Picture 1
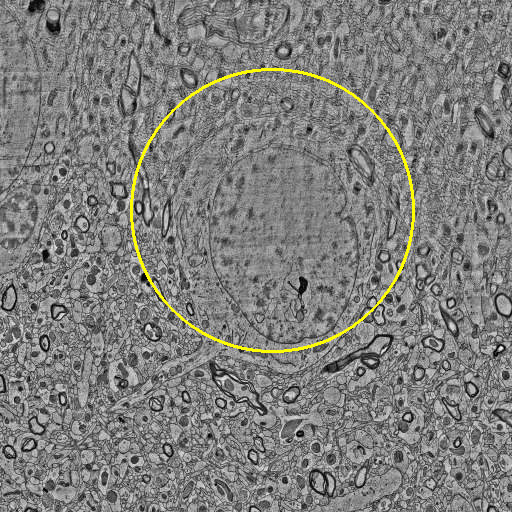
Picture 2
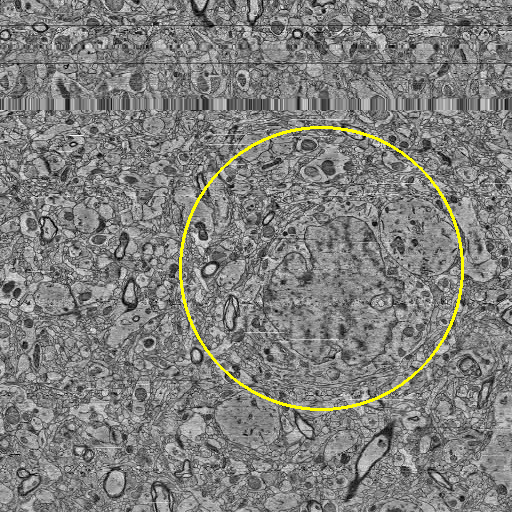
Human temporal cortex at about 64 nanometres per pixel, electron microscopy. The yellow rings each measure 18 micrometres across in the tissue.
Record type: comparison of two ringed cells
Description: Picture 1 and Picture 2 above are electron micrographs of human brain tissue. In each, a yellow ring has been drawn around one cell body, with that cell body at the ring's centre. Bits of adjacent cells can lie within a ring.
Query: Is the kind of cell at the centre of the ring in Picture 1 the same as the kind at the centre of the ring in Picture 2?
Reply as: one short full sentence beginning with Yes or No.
No, the two ringed cells are of two separate kinds.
